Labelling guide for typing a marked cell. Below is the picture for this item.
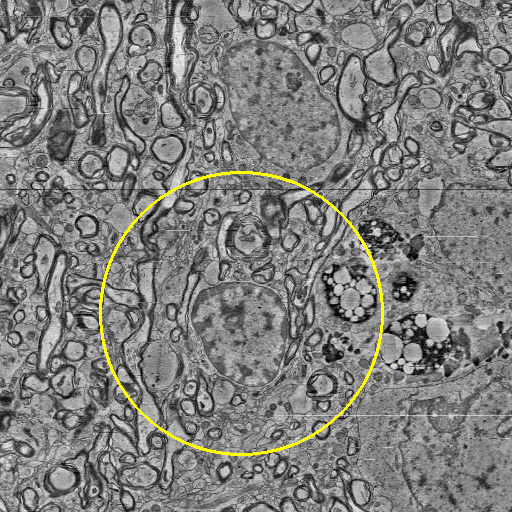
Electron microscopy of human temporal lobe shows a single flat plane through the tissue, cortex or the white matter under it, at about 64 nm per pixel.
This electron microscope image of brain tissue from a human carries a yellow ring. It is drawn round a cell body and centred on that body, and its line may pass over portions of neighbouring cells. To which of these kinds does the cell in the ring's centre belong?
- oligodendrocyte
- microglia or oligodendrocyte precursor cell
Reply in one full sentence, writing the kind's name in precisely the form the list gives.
Here we have a microglial cell or oligodendrocyte precursor cell at the centre of the yellow ring in the picture.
